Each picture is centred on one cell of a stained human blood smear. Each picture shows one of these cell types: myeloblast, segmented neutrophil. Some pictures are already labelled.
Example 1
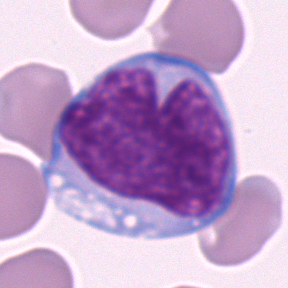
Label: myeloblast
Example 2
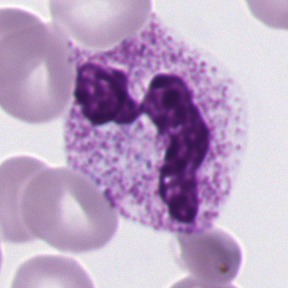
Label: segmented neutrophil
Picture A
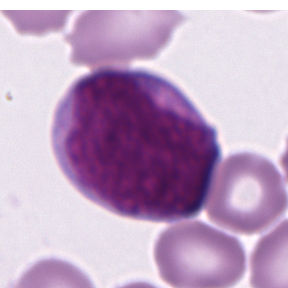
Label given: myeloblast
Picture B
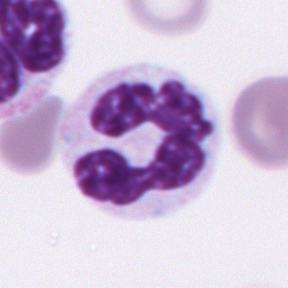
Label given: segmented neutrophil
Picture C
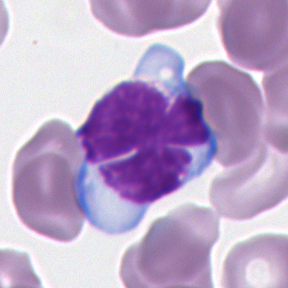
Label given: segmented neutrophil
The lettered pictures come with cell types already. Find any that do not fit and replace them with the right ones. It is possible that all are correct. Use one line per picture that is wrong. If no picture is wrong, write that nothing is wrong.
C is labelled segmented neutrophil; correct label: myeloblast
